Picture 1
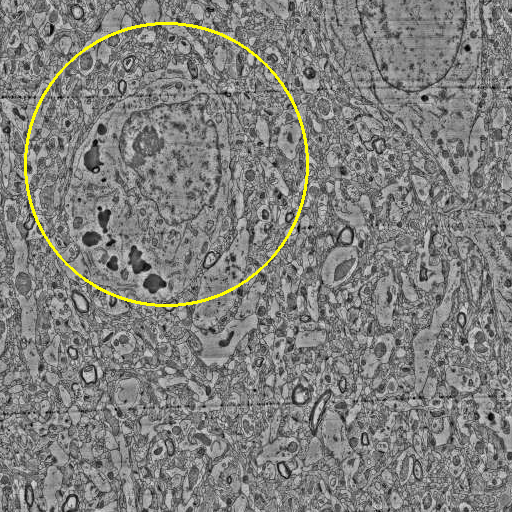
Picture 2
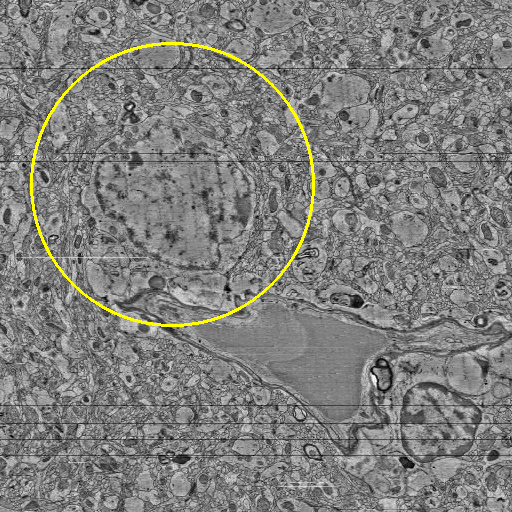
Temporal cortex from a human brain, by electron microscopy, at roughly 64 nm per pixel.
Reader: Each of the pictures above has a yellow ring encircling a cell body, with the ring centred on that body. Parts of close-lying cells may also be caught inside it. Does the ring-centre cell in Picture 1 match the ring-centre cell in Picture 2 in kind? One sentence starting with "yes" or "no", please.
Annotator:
Yes, Picture 1 and Picture 2 show ring-centre cells of a single kind.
